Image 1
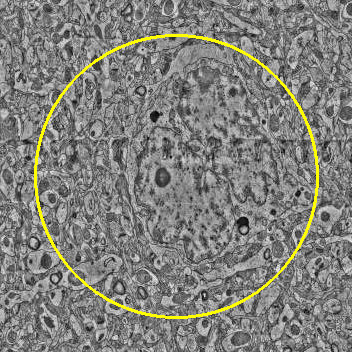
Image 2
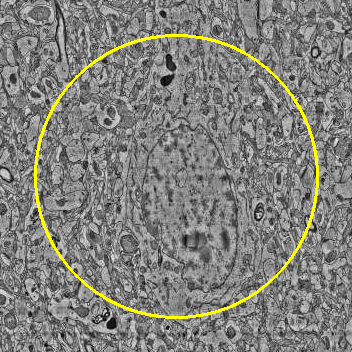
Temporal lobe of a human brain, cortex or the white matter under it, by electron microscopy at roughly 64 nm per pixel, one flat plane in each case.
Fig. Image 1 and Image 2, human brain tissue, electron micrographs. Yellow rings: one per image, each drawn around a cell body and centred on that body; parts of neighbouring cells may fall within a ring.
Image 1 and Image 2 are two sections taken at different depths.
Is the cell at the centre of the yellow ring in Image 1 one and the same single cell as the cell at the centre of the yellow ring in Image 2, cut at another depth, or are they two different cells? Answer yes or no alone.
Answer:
no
